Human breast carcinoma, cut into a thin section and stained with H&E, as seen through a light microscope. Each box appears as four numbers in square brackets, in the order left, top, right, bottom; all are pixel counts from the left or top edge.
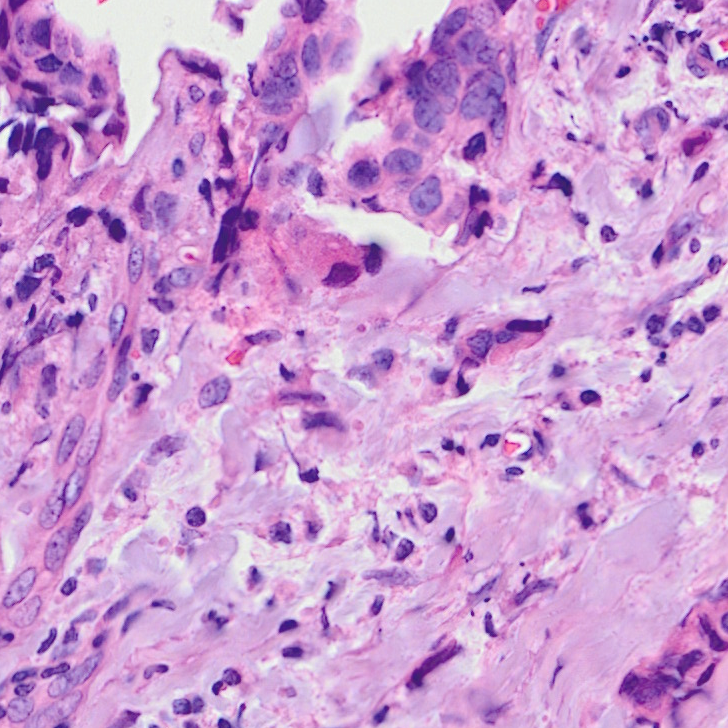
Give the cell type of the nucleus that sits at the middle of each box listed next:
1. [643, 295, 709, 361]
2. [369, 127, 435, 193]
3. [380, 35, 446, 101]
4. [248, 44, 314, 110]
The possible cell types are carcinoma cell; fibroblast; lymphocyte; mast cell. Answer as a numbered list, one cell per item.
1. lymphocyte
2. carcinoma cell
3. carcinoma cell
4. carcinoma cell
